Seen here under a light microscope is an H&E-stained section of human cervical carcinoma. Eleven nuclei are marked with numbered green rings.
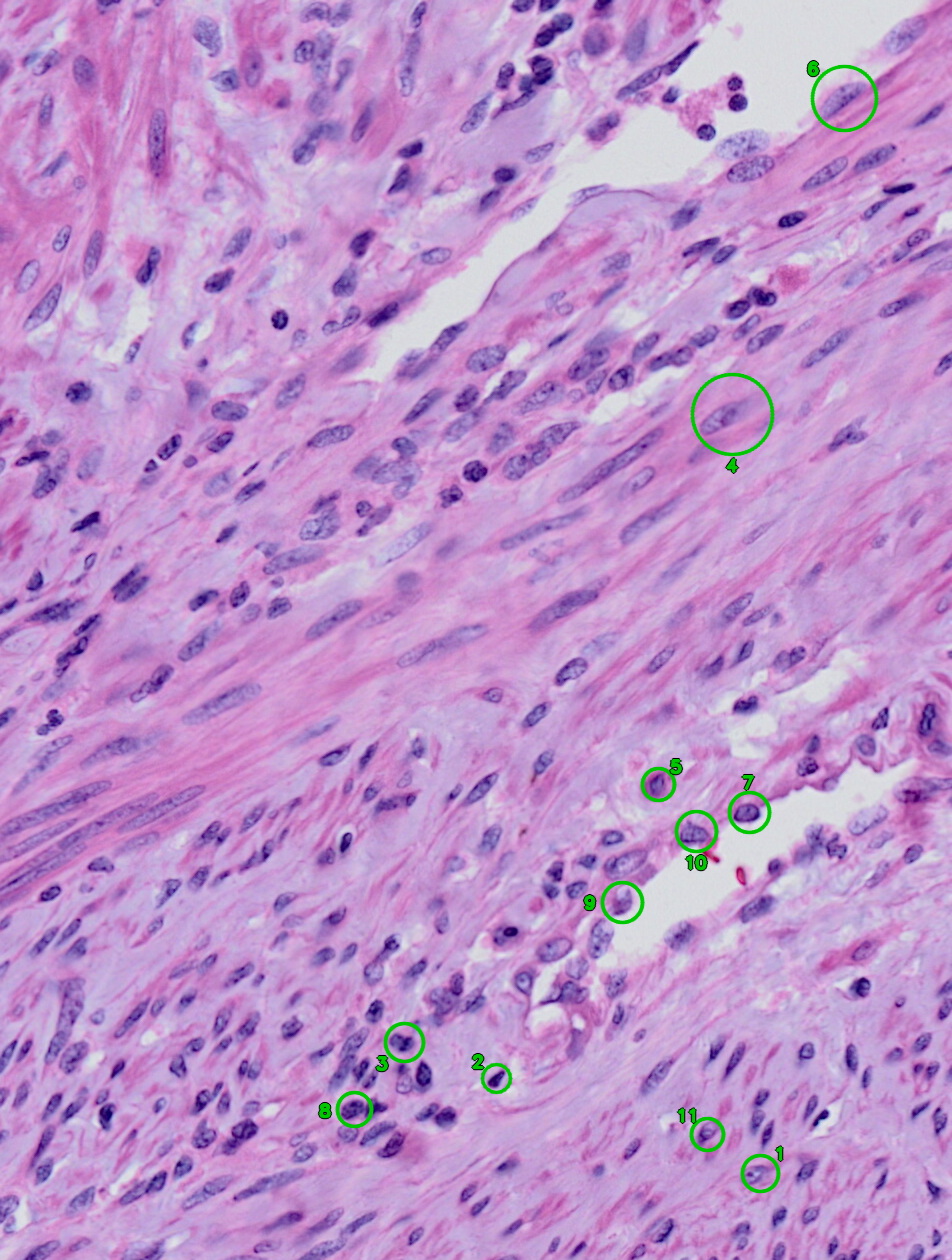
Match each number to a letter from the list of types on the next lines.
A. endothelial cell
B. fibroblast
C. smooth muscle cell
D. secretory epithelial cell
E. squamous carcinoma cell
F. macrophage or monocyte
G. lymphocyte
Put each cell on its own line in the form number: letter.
1: C
2: G
3: G
4: C
5: C
6: A
7: A
8: G
9: A
10: A
11: C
